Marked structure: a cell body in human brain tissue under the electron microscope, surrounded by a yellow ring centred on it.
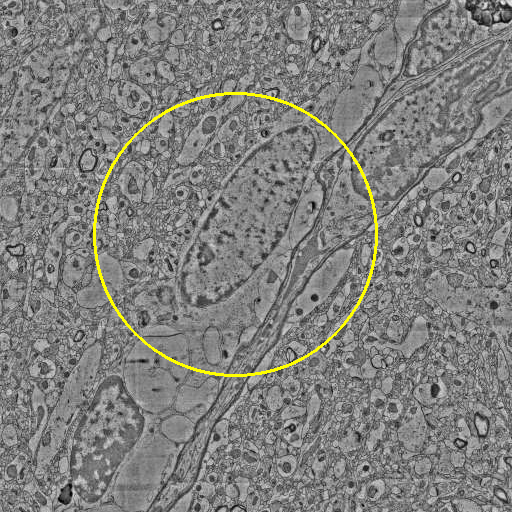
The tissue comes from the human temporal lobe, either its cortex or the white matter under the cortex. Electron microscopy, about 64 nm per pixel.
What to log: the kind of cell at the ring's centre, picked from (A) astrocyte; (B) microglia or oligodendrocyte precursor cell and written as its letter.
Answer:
B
